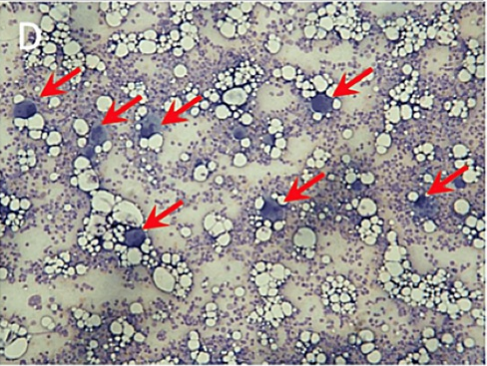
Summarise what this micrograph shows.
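Low-power bone marrow aspirate with several large, darkly staining megakaryocytes scattered across the field. They lie among dense sheets of small purple hematopoietic cells interspersed with numerous clear round fat spaces.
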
